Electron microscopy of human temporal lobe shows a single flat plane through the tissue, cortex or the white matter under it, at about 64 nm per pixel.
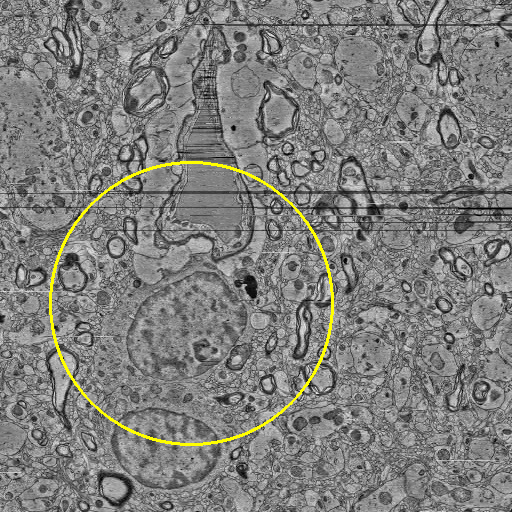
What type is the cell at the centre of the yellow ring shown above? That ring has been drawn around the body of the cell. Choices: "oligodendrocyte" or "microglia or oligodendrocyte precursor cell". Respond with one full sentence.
My answer is that an oligodendrocyte lies at the centre of the yellow ring above.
